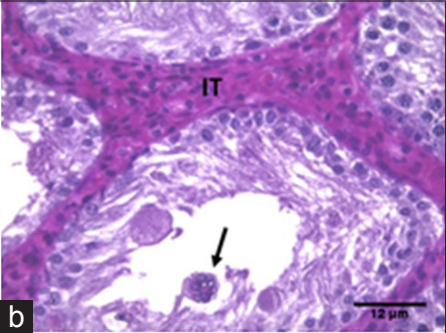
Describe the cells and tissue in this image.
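This is testis, with seminiferous tubules separated by a broad band of intertubular tissue. The intertubular tissue is pink and crowded with cells bearing dark oval nuclei, wider than usual between tubules. The tubule walls are lined by a pale lilac epithelium of germ cells with round nuclei, and the lumen is open. Lying free in the lumen is a large rounded cell holding several nuclei, a syncytial giant cell.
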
